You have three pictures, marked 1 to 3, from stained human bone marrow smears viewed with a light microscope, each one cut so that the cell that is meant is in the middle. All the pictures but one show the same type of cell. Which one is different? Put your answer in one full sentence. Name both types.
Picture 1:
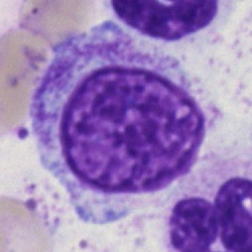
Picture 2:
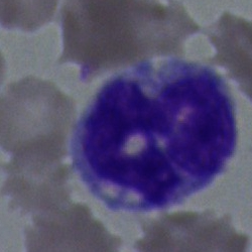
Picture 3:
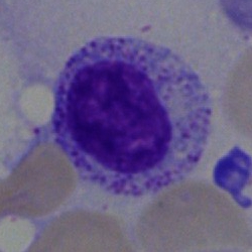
Unlike the rest, which show myelocytes, picture 2 shows a monocyte.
